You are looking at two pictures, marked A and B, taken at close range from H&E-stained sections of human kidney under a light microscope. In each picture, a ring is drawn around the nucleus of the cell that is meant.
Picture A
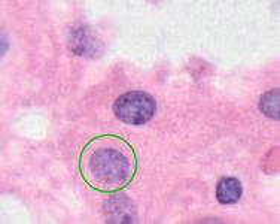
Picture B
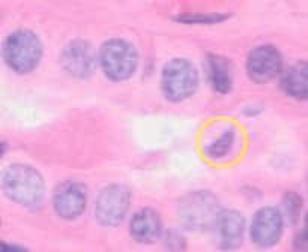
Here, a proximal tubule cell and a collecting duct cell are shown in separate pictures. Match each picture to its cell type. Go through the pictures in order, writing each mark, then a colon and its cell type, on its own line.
A: proximal tubule cell
B: collecting duct cell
